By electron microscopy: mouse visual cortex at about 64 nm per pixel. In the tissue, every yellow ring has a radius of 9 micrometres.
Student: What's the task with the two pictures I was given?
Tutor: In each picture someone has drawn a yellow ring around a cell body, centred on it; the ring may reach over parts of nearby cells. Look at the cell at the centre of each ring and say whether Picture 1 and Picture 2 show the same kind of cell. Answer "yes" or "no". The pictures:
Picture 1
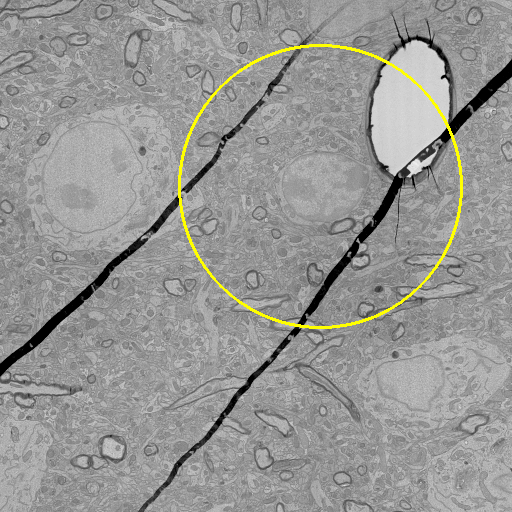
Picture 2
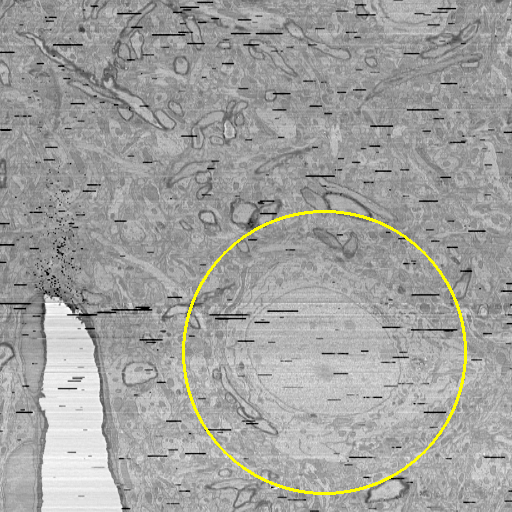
no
